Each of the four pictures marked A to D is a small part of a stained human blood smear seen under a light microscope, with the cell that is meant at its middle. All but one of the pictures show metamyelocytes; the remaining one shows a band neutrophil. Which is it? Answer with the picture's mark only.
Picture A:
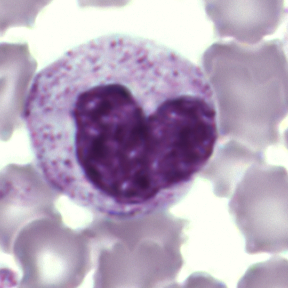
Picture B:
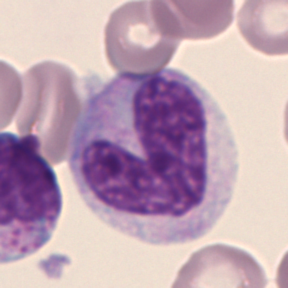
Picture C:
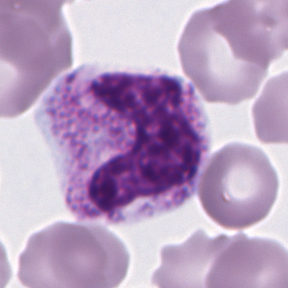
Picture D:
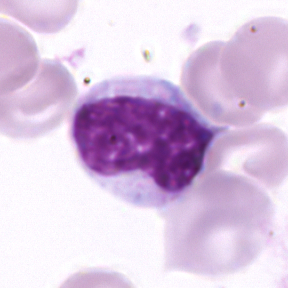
B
